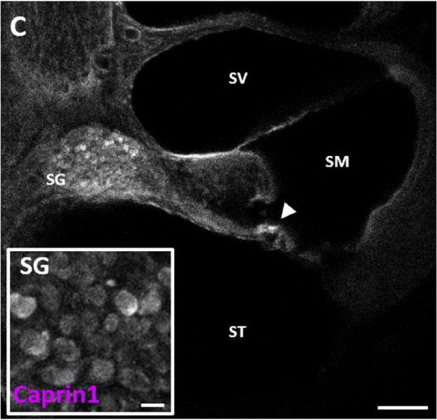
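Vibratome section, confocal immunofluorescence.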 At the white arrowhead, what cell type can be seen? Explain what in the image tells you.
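The arrowhead points to a small bright spot on the floor of the middle, triangular chamber of the cochlear duct. The spot lies at the inner side of the sensory epithelium, near the spiral ganglion side. The answer: inner hair cells.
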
